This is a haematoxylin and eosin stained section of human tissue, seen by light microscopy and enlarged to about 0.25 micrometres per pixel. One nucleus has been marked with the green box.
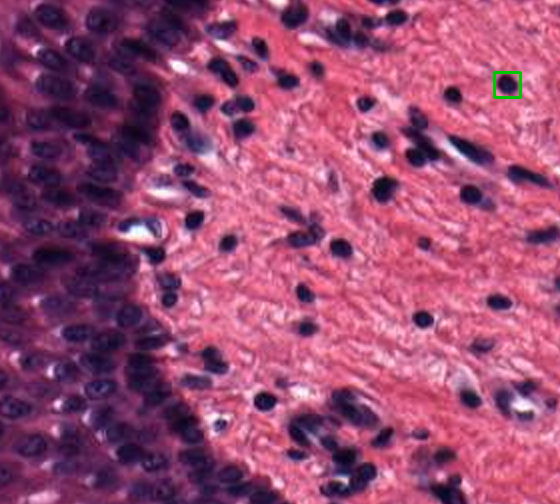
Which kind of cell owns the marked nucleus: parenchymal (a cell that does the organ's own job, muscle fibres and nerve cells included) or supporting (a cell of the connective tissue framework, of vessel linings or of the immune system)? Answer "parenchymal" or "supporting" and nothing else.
supporting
